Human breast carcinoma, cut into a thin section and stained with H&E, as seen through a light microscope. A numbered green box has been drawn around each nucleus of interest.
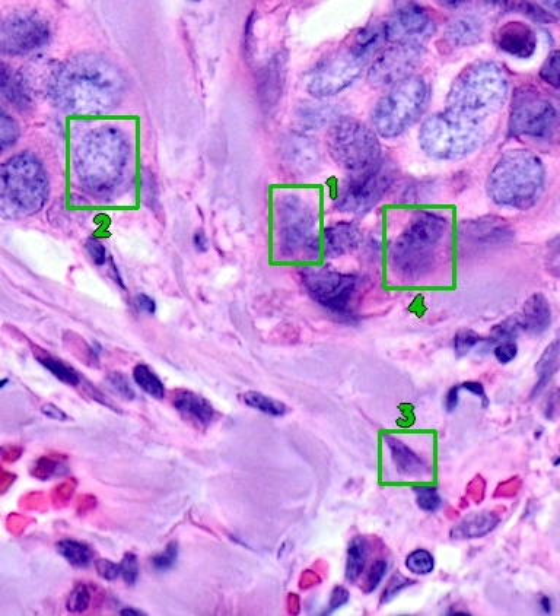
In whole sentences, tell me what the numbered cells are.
Cell 1 is a carcinoma cell, cell 2 is a carcinoma cell, cell 3 is a fibroblast and cell 4 is a carcinoma cell.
